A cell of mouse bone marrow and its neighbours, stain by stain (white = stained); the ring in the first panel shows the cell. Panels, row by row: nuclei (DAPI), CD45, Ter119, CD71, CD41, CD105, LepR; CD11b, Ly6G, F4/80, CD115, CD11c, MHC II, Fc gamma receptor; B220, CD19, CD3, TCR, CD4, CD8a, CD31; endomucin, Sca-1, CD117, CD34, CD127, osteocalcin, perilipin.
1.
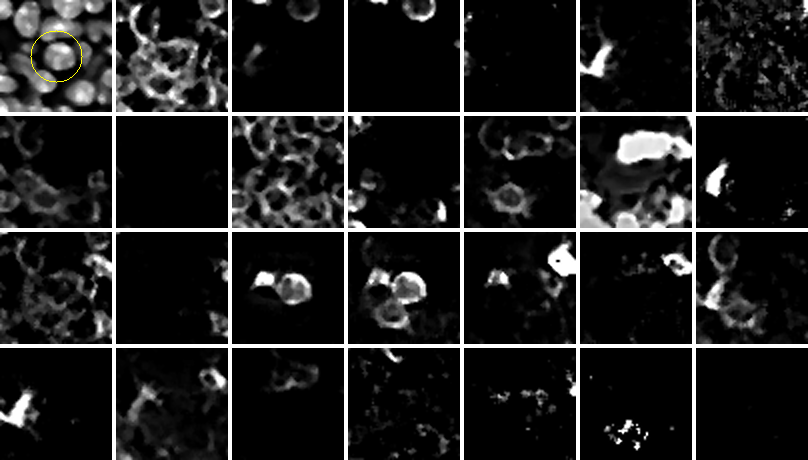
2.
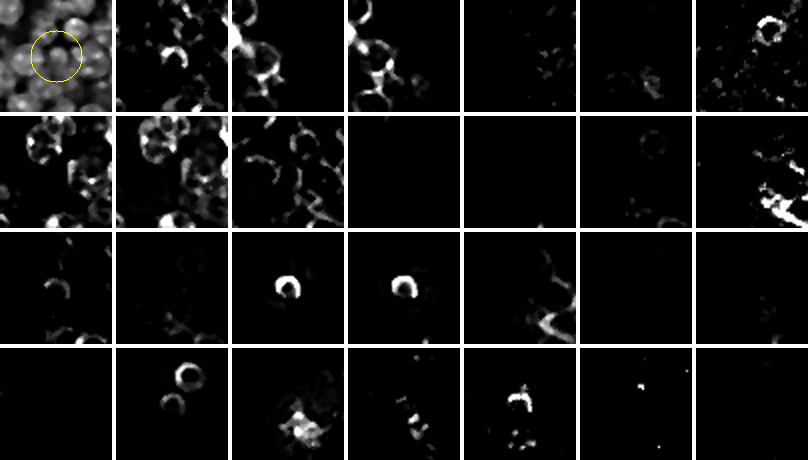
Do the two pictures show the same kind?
Yes, both are double-negative T cells.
